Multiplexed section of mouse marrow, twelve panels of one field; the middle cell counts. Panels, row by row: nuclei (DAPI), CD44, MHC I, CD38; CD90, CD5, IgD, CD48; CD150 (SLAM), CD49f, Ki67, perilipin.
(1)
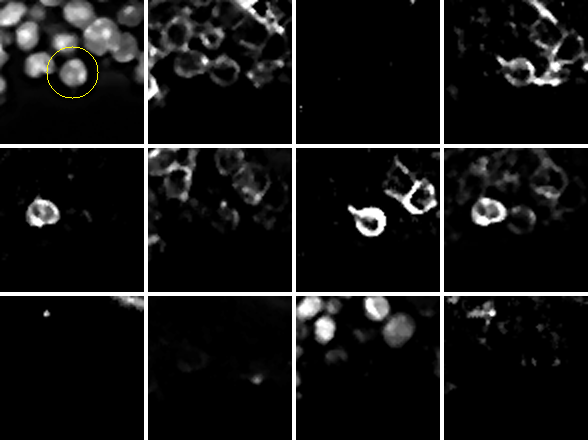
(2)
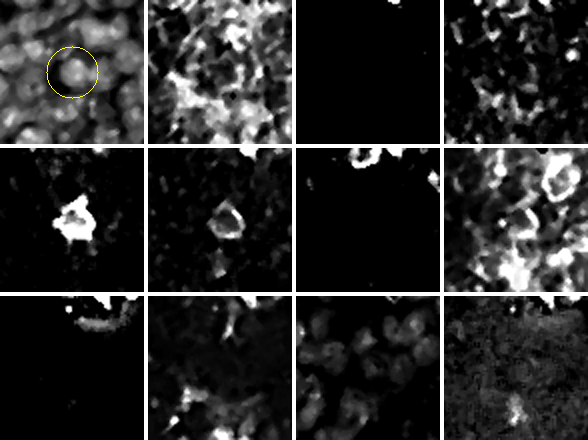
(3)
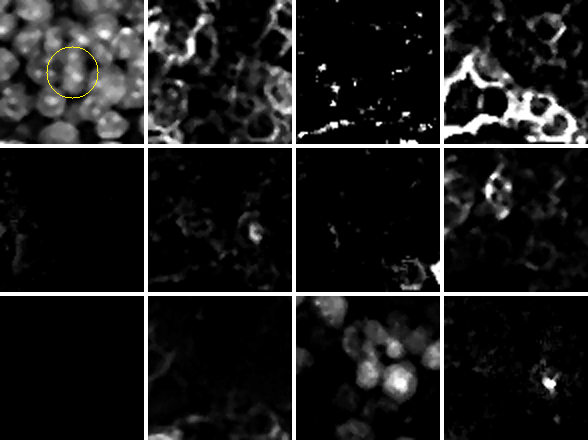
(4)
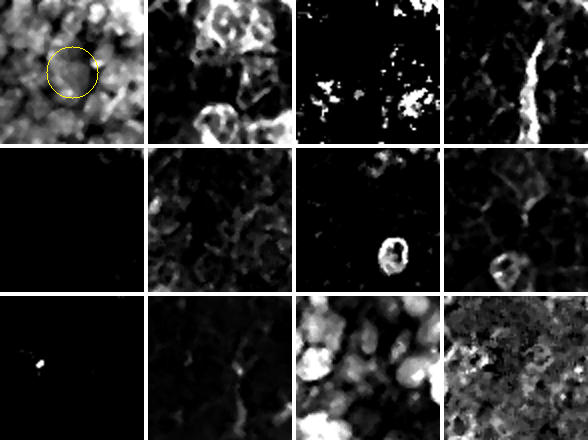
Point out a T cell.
That is picture 2.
